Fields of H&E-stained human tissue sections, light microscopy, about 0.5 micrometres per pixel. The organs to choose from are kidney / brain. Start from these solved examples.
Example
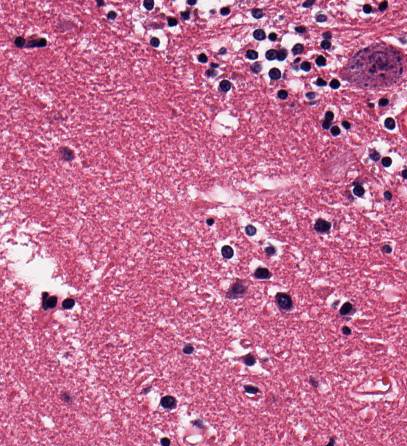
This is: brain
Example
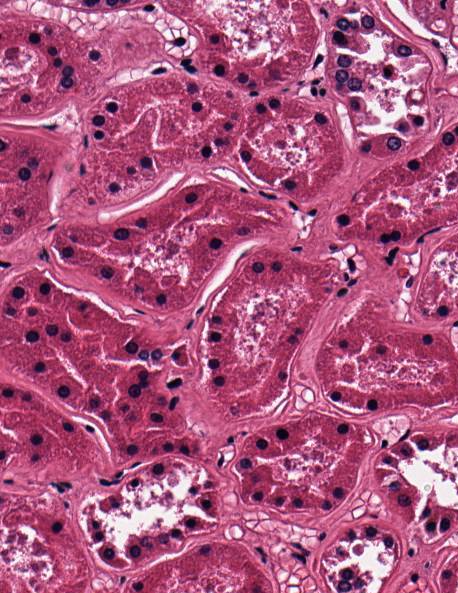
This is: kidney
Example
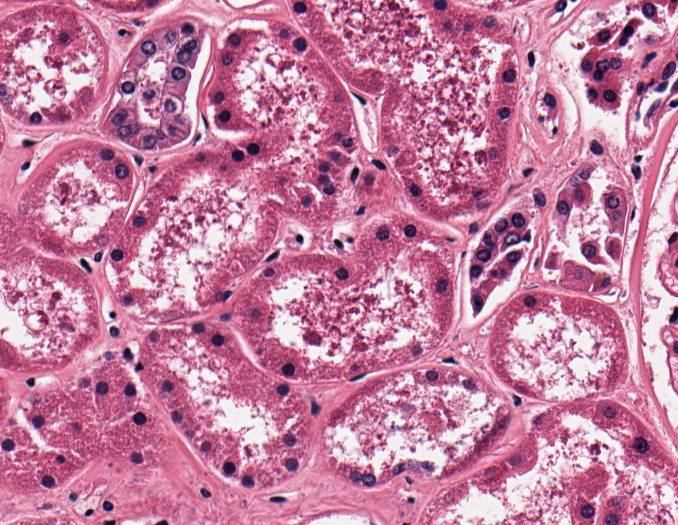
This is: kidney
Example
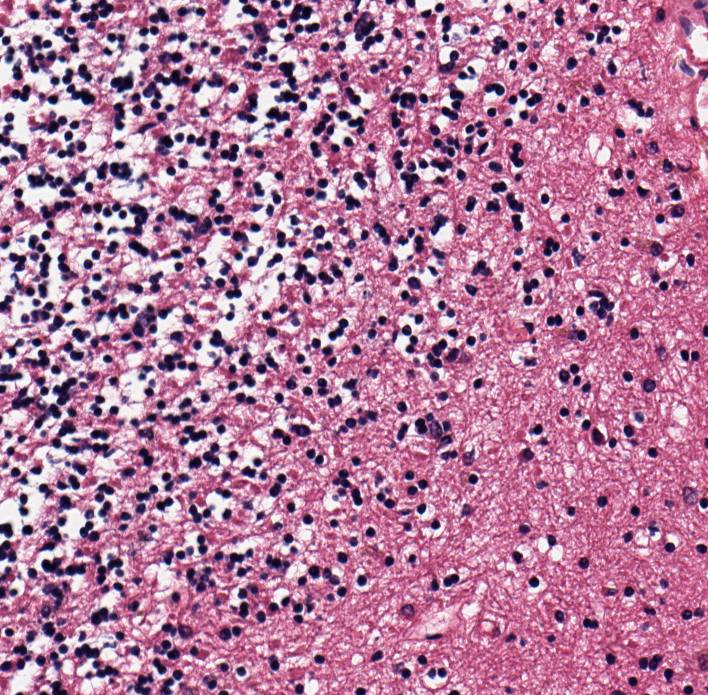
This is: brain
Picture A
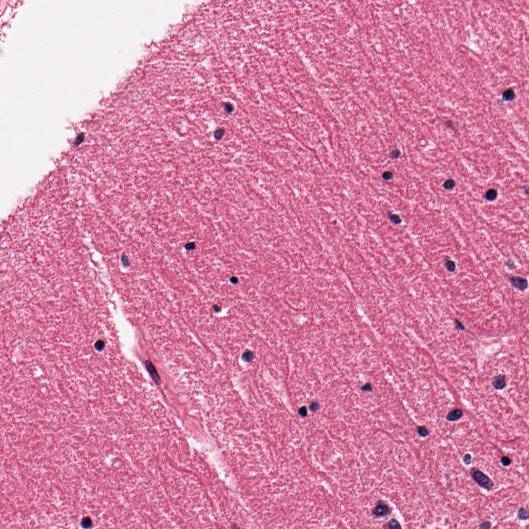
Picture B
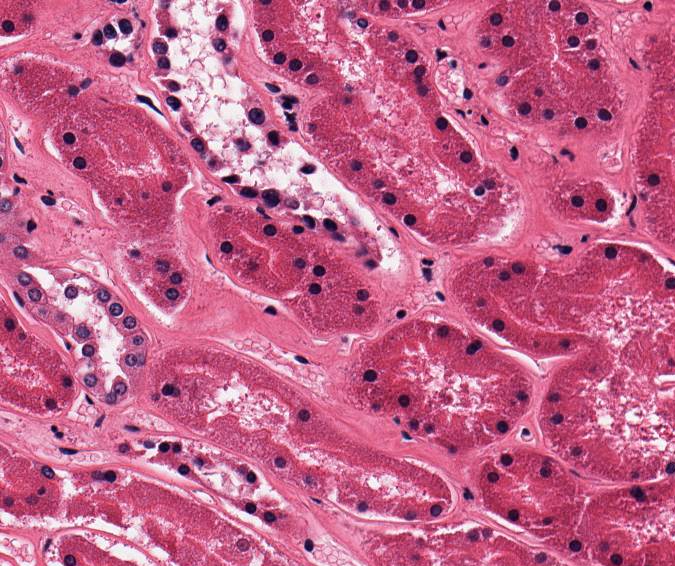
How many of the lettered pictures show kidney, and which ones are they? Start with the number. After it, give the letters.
1, namely B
